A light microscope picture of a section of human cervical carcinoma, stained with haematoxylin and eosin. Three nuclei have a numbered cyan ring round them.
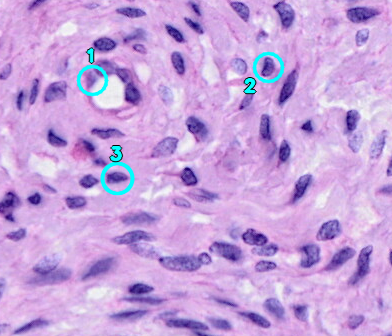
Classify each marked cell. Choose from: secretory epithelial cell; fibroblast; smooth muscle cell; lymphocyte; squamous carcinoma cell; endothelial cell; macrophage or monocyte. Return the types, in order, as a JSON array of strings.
["endothelial cell", "fibroblast", "fibroblast"]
